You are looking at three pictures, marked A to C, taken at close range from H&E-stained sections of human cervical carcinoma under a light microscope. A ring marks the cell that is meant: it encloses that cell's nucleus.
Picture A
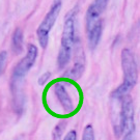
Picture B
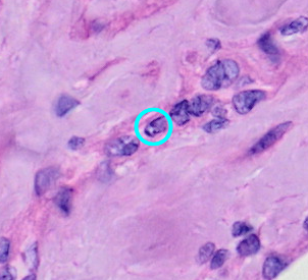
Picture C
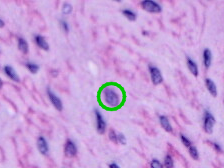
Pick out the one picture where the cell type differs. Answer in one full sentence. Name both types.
Picture B differs, because its cell is an endothelial cell and the rest are smooth muscle cells.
